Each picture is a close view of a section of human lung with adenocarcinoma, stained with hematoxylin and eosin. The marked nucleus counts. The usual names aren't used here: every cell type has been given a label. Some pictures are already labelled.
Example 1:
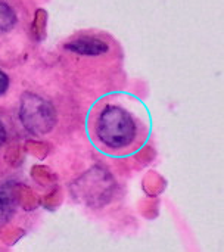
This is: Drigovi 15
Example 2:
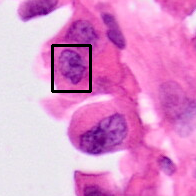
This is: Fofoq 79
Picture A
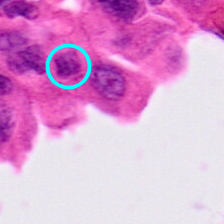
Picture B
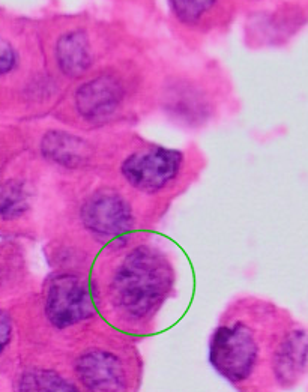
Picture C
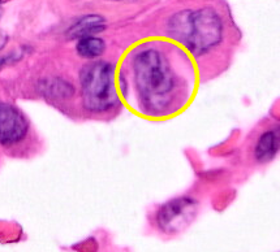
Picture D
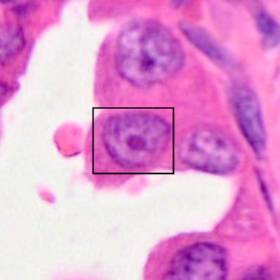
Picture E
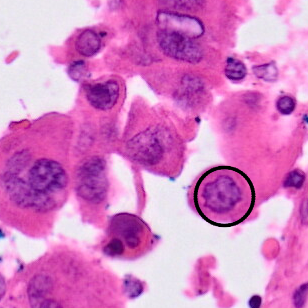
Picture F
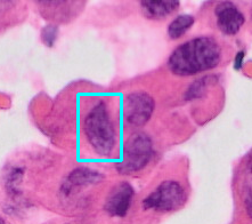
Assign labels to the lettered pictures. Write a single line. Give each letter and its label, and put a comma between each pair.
A Fofoq 79, B Fofoq 79, C Fofoq 79, D Fofoq 79, E Fofoq 79, F Fofoq 79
